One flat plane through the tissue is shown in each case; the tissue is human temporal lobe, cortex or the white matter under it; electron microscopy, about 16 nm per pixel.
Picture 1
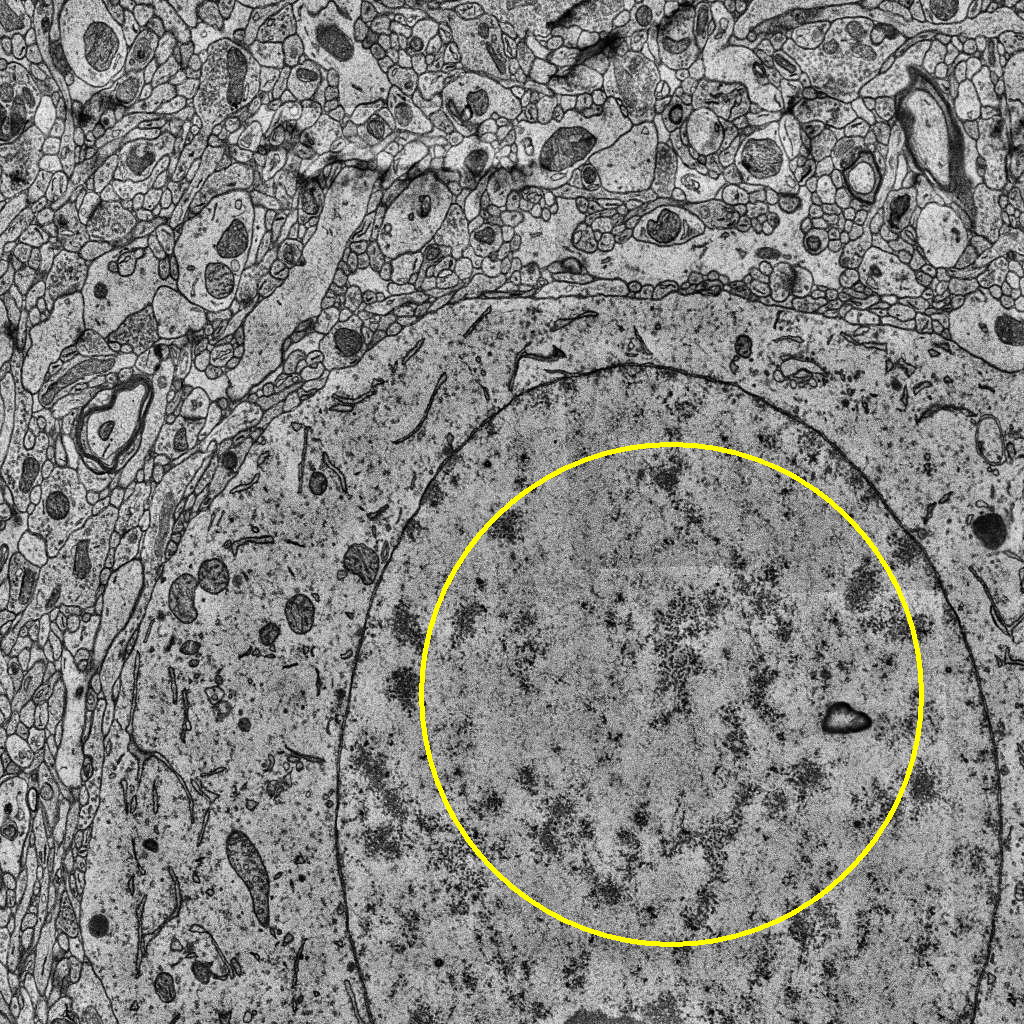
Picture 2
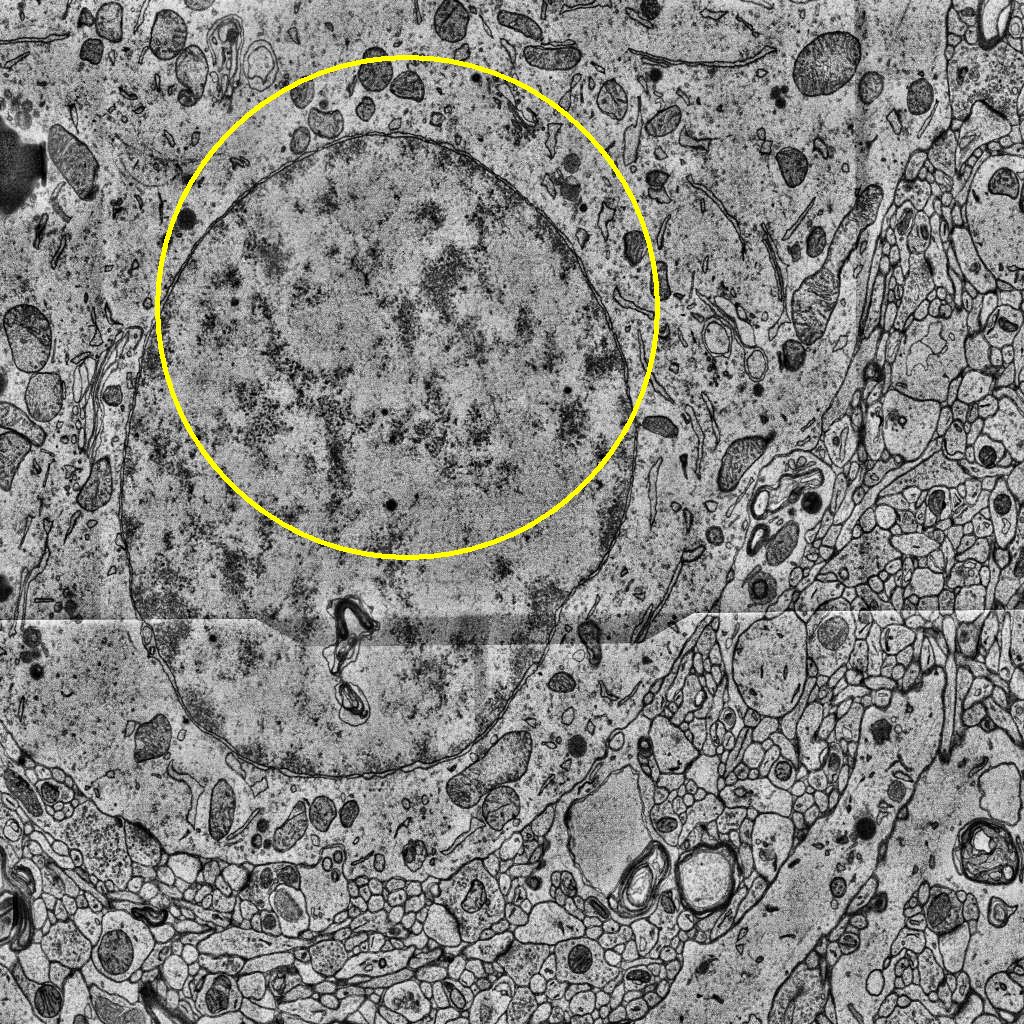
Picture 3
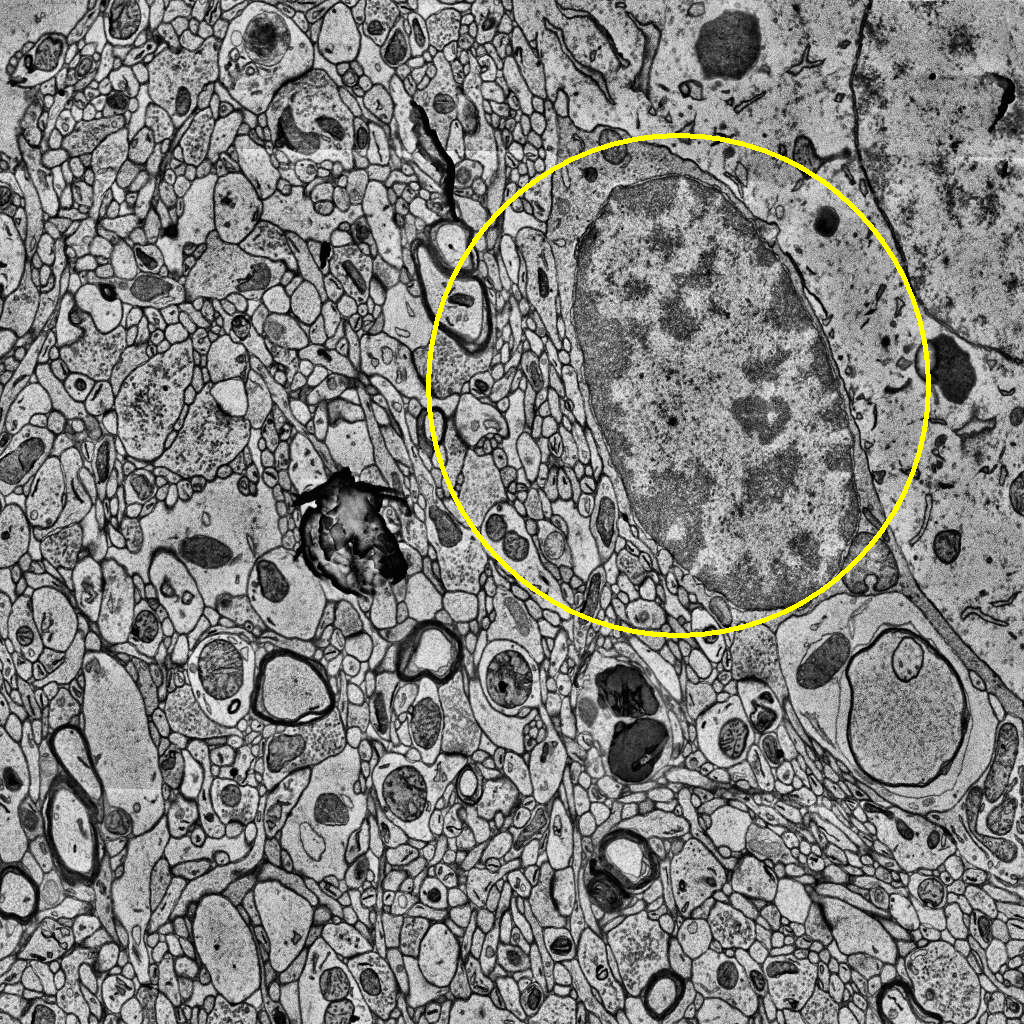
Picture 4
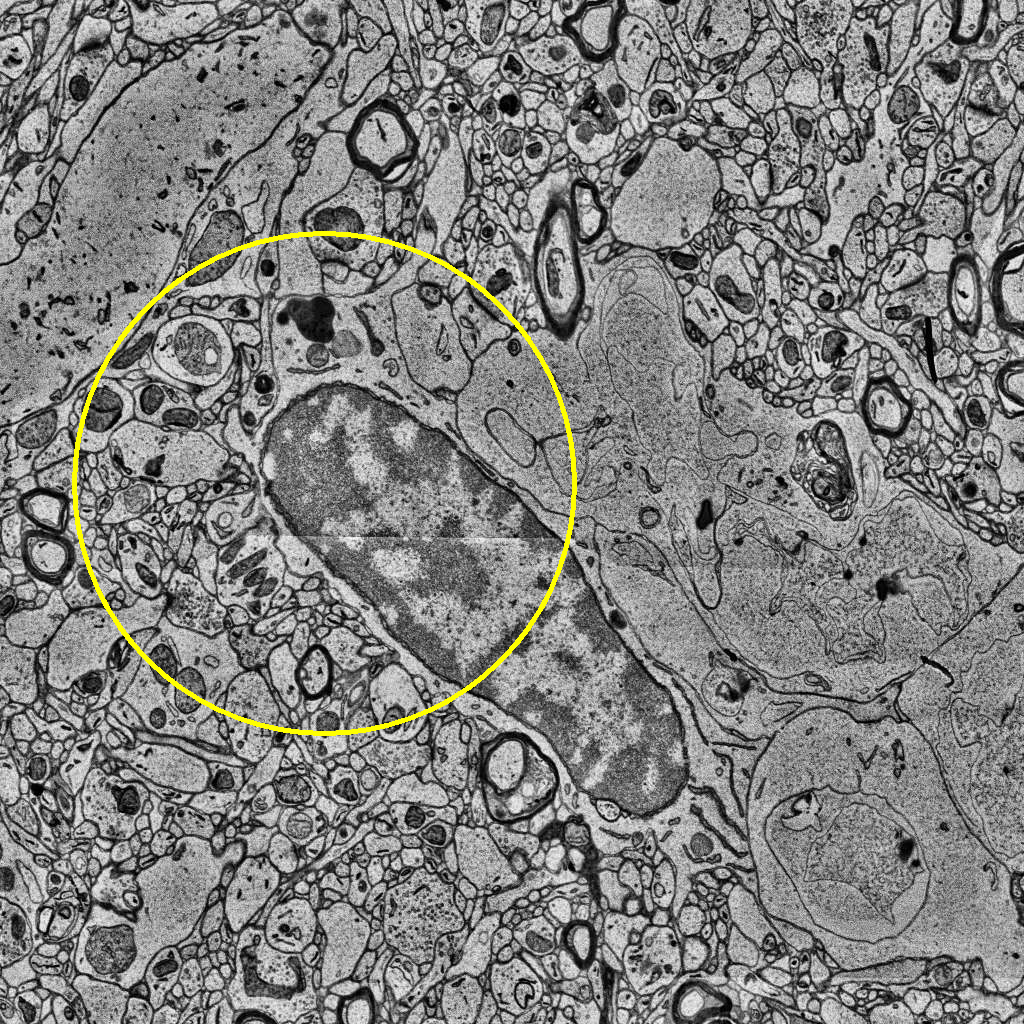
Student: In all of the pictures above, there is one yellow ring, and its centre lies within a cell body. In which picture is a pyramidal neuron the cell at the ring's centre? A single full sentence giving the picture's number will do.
Picture number 1 has the centre of its ring lying inside the wanted cell.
